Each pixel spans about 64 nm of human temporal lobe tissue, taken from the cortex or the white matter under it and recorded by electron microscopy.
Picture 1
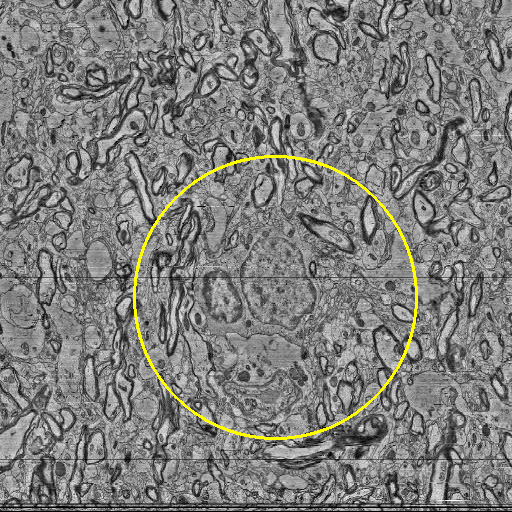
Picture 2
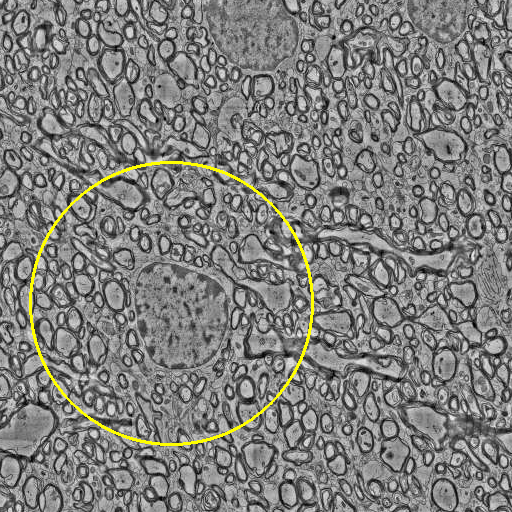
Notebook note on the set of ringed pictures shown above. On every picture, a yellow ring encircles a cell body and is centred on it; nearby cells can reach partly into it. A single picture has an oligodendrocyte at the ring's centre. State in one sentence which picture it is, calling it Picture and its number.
Picture 1 is the one whose ring is centred on the sought cell.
